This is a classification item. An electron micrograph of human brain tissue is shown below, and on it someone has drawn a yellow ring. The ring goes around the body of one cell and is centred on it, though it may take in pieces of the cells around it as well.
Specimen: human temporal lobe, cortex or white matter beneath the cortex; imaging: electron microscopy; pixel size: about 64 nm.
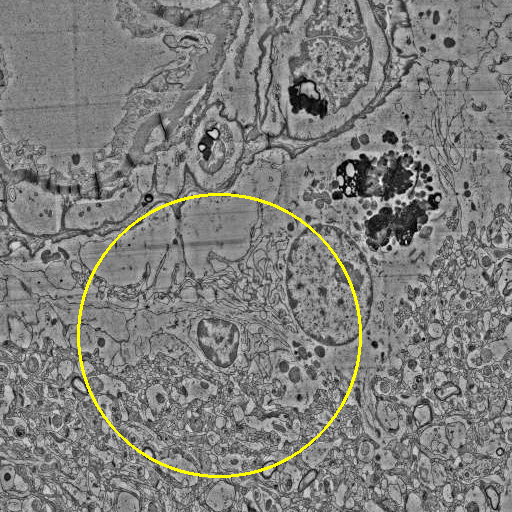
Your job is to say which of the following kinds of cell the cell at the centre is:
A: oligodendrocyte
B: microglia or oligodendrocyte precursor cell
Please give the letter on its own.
B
